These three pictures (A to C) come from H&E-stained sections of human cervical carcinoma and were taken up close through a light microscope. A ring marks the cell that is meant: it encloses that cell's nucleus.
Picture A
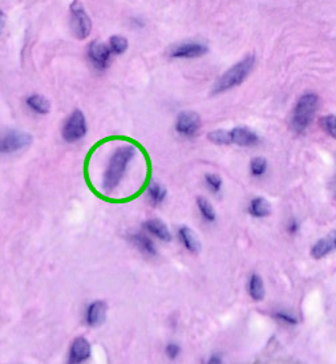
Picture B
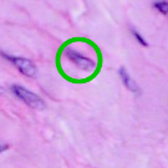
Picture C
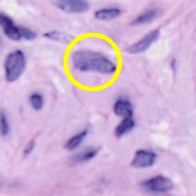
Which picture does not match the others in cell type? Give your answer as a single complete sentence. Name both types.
Picture B differs, because its cell is a smooth muscle cell and the rest are fibroblasts.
